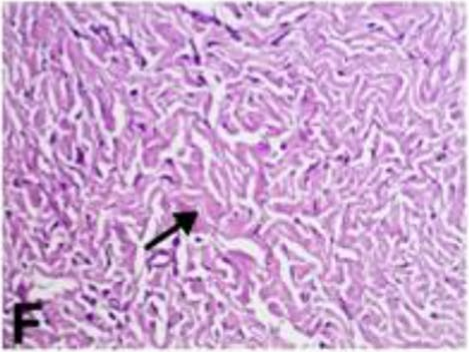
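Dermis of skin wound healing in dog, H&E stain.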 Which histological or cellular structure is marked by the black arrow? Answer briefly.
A: Collagen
